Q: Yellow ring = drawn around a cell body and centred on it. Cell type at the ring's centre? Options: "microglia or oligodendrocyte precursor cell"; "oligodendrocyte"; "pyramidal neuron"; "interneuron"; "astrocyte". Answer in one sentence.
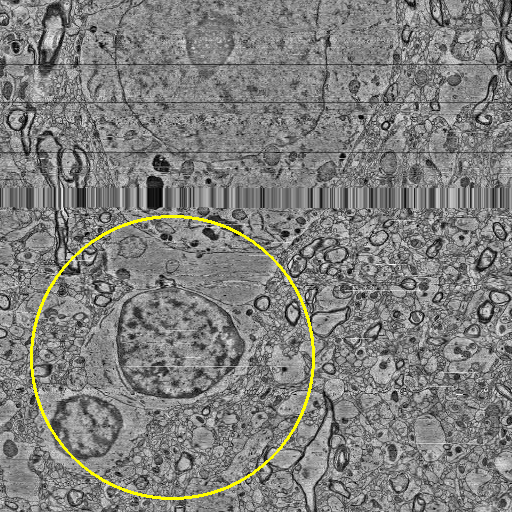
Centred in the ring is a microglial cell or oligodendrocyte precursor cell.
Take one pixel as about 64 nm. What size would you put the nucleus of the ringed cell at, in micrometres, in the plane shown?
The ringed cell's nucleus is about 8 micrometres across in this plane.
